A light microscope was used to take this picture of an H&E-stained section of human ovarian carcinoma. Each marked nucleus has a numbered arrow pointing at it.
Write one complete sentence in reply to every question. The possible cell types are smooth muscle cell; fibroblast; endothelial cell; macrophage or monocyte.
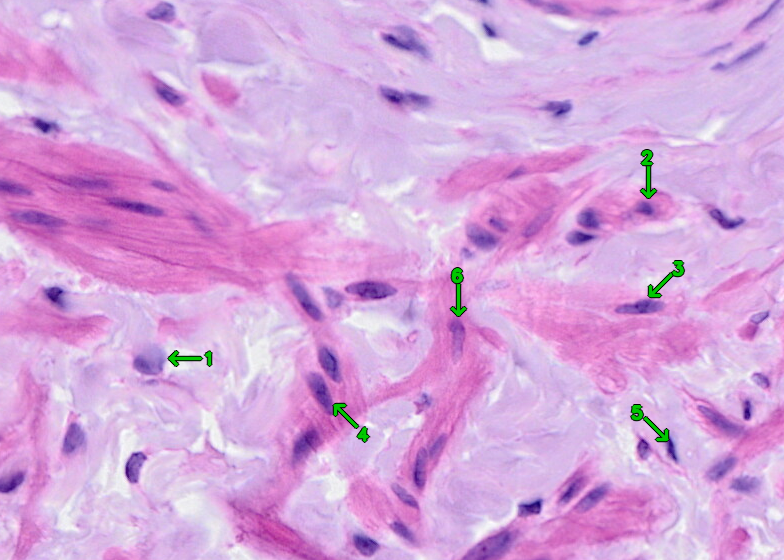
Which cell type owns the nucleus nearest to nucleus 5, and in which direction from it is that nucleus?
The closest nucleus belongs to a macrophage or monocyte and sits to the left of nucleus 5.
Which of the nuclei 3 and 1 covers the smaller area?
The smaller nucleus is 3, and 1 covers roughly 1.5 times its area.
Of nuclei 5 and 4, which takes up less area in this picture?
Number 5 is smaller, since number 4 takes up about 3 times as much area.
